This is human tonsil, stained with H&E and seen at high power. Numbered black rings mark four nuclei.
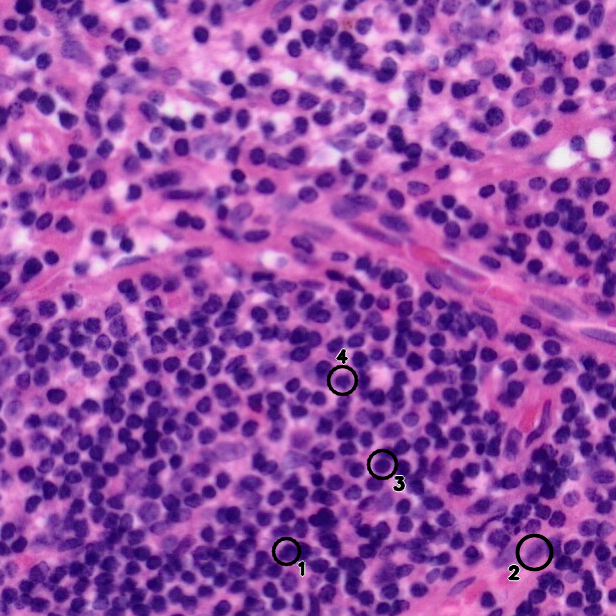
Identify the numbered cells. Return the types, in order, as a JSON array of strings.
["small lymphocyte", "endothelial cell", "small lymphocyte", "small lymphocyte"]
